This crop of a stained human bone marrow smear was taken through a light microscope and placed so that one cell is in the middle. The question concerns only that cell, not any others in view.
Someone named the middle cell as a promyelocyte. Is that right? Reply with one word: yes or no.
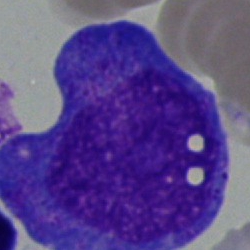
yes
